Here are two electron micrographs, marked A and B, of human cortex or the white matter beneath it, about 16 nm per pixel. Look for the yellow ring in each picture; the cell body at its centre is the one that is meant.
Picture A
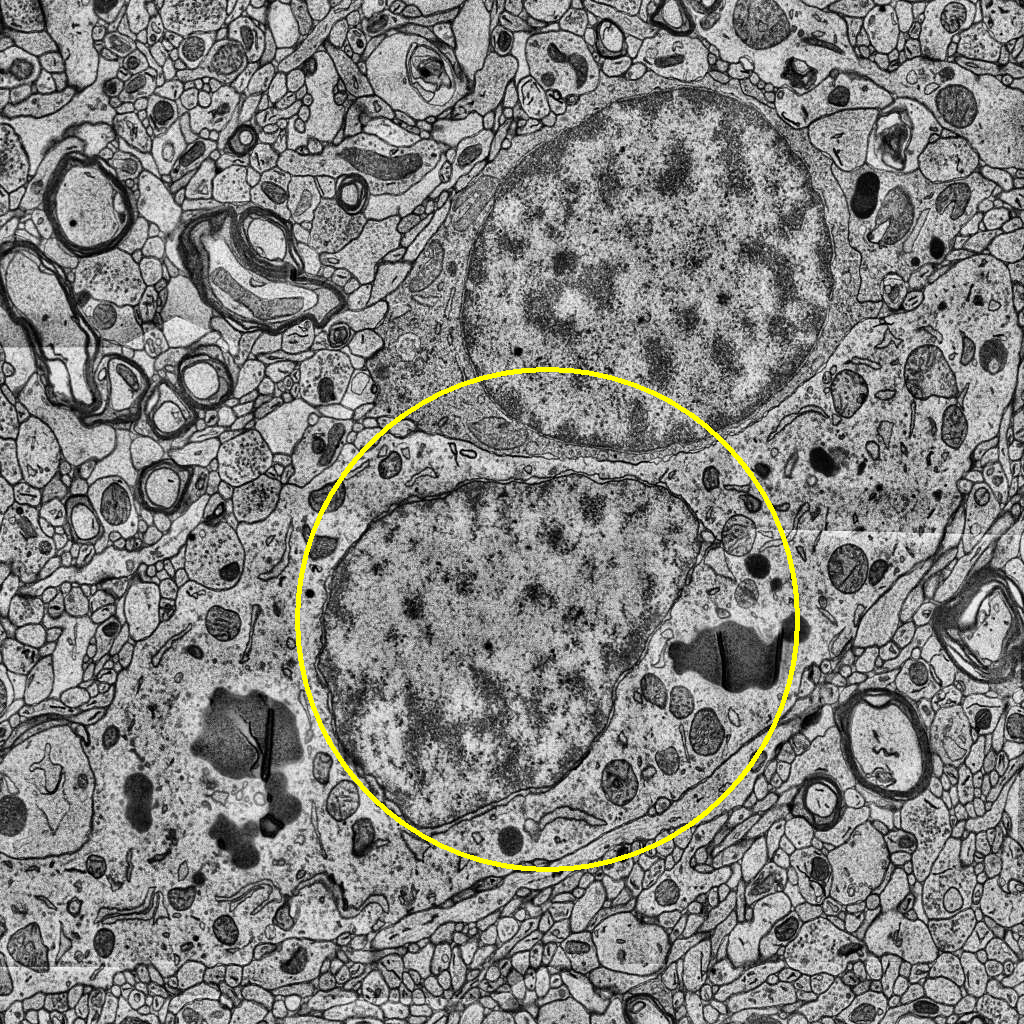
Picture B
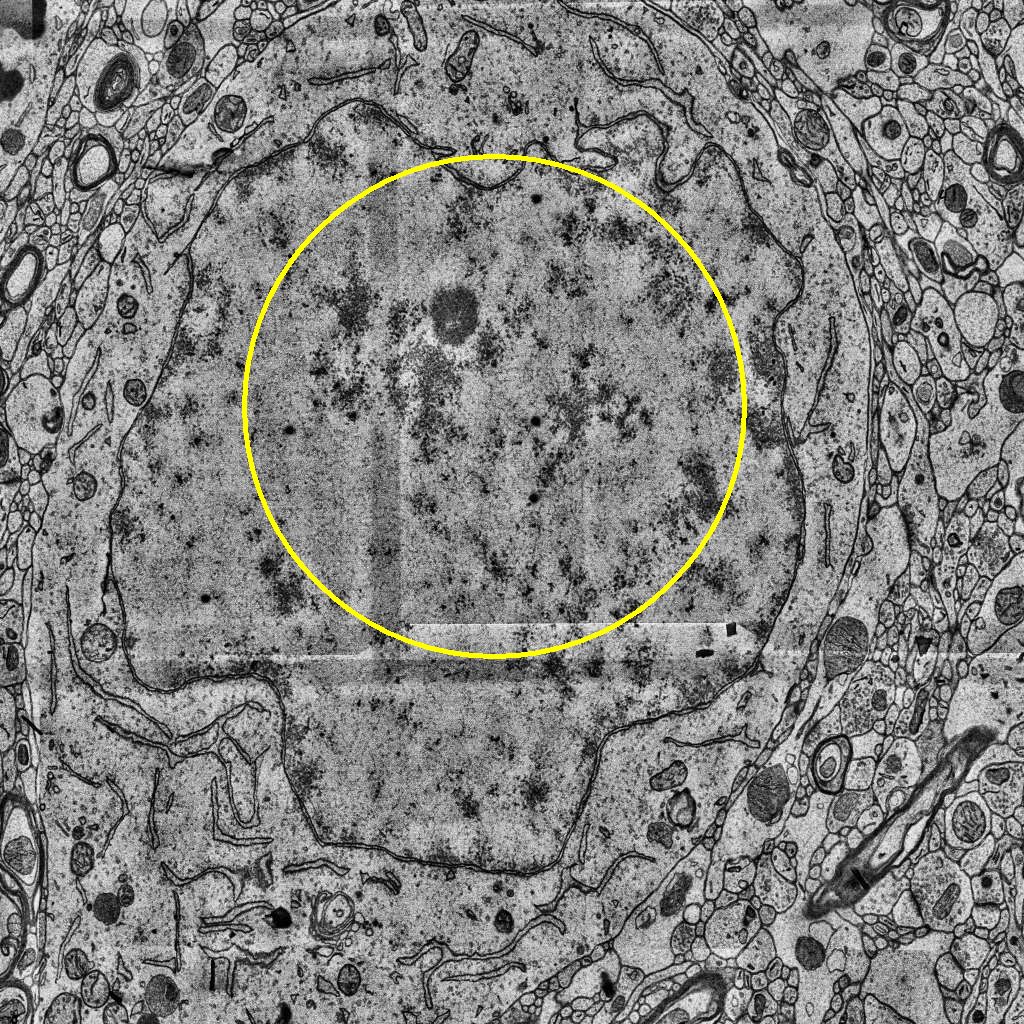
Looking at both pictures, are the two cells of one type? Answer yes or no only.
yes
